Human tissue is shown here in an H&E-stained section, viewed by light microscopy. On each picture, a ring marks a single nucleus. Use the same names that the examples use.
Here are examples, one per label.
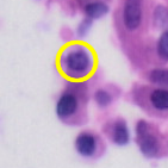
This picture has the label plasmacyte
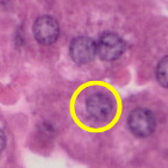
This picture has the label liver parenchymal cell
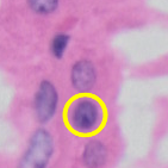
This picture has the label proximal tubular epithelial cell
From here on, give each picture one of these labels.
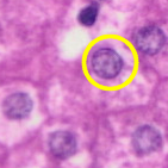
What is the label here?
liver parenchymal cell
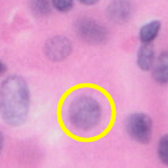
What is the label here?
proximal tubular epithelial cell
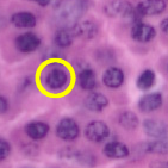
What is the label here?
plasmacyte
